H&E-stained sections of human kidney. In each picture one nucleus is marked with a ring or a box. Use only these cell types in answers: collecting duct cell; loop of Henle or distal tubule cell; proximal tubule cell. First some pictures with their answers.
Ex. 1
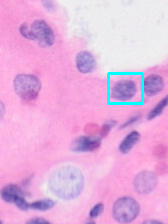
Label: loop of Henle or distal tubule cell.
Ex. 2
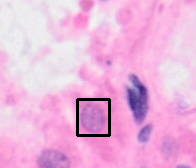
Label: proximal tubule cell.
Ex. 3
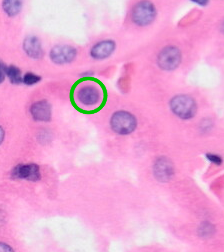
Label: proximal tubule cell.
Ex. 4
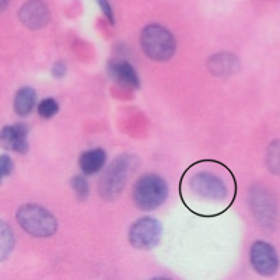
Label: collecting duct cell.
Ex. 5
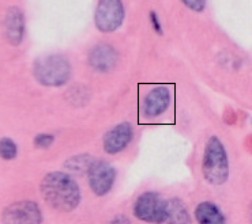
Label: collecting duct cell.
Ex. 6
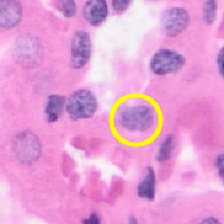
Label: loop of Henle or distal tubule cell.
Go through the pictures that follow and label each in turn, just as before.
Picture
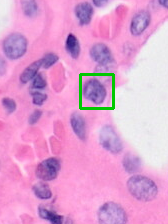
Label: collecting duct cell.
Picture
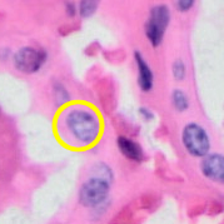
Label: collecting duct cell.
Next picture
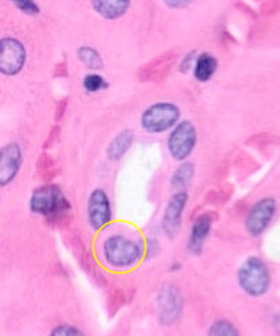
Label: collecting duct cell.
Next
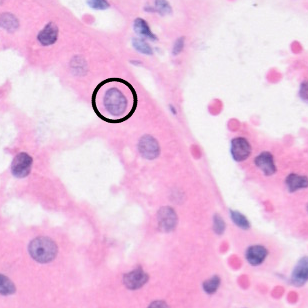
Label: proximal tubule cell.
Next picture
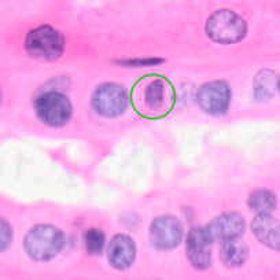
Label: collecting duct cell.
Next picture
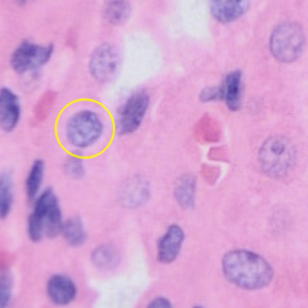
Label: loop of Henle or distal tubule cell.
